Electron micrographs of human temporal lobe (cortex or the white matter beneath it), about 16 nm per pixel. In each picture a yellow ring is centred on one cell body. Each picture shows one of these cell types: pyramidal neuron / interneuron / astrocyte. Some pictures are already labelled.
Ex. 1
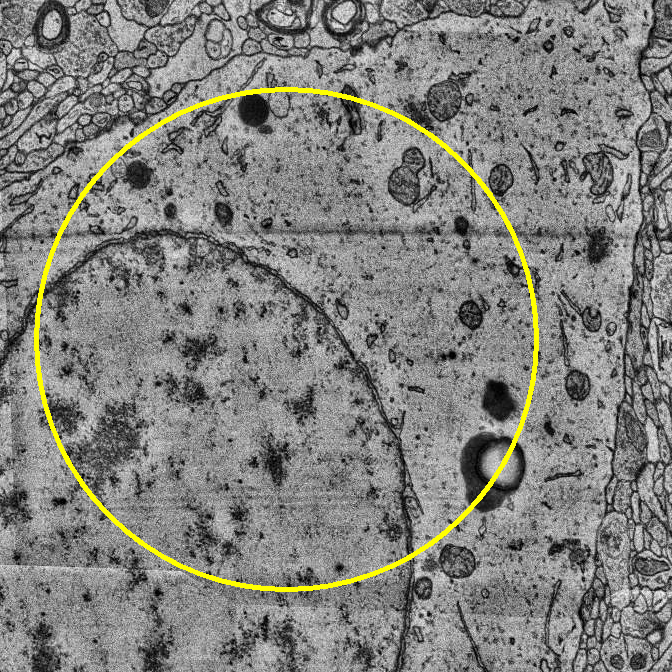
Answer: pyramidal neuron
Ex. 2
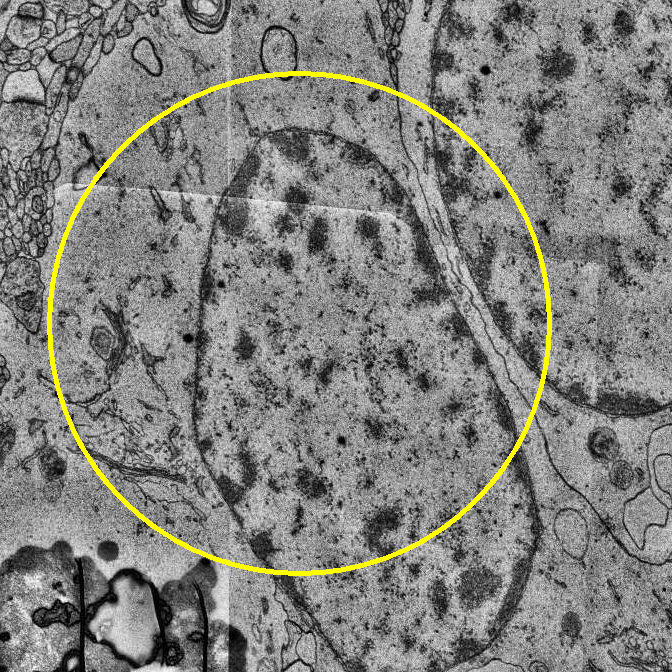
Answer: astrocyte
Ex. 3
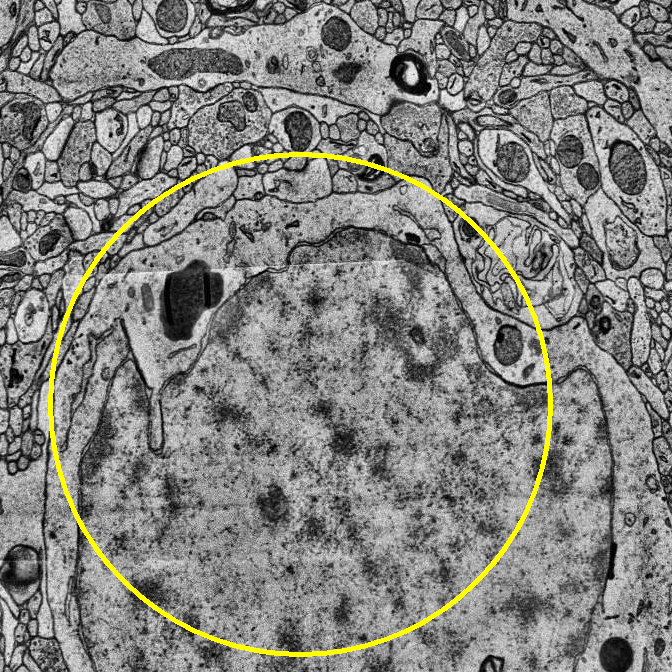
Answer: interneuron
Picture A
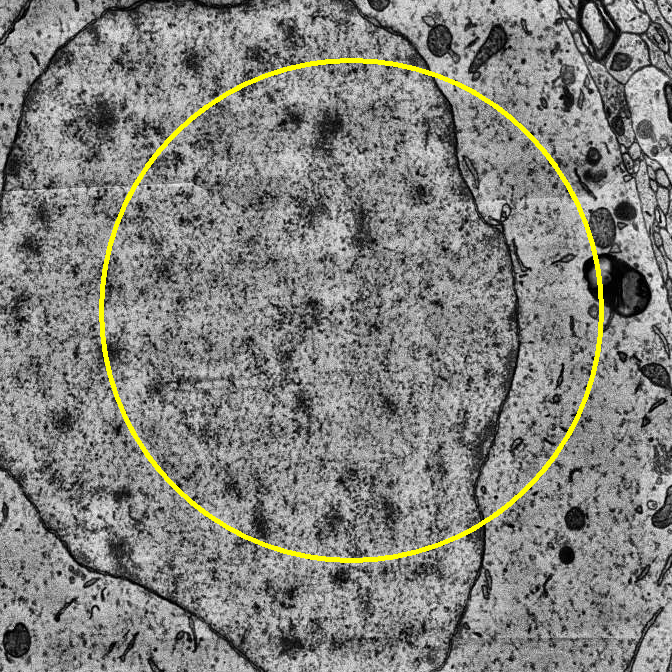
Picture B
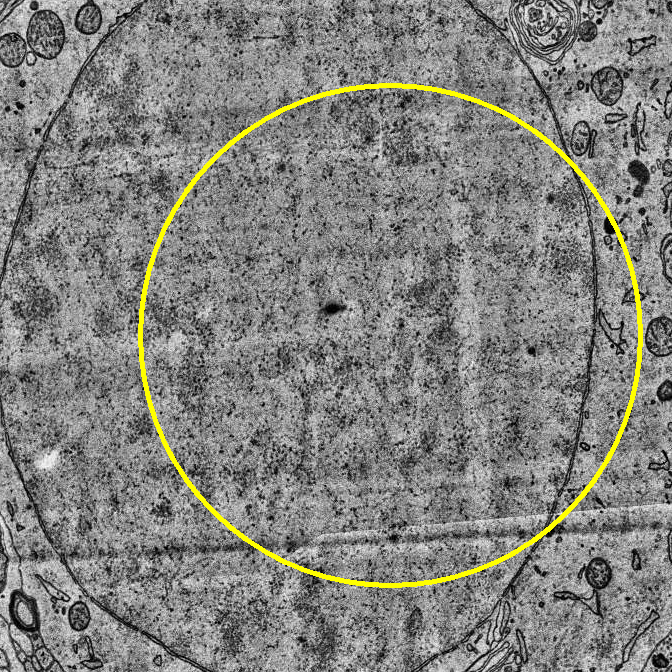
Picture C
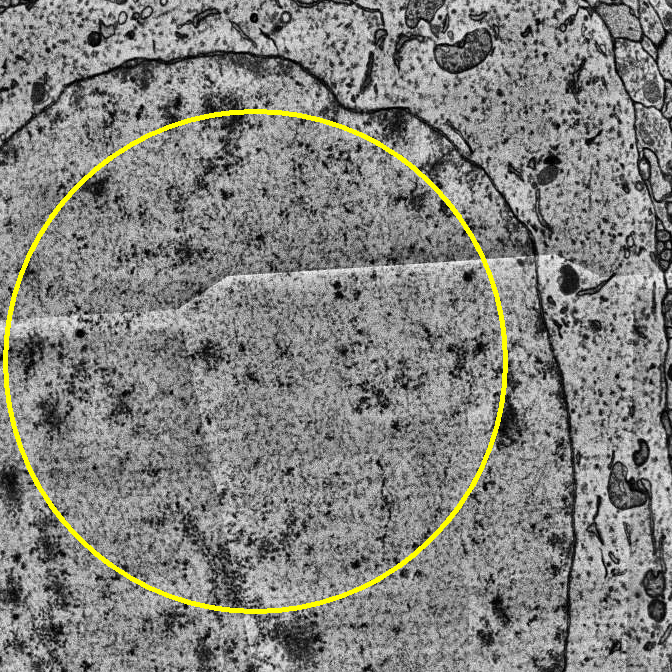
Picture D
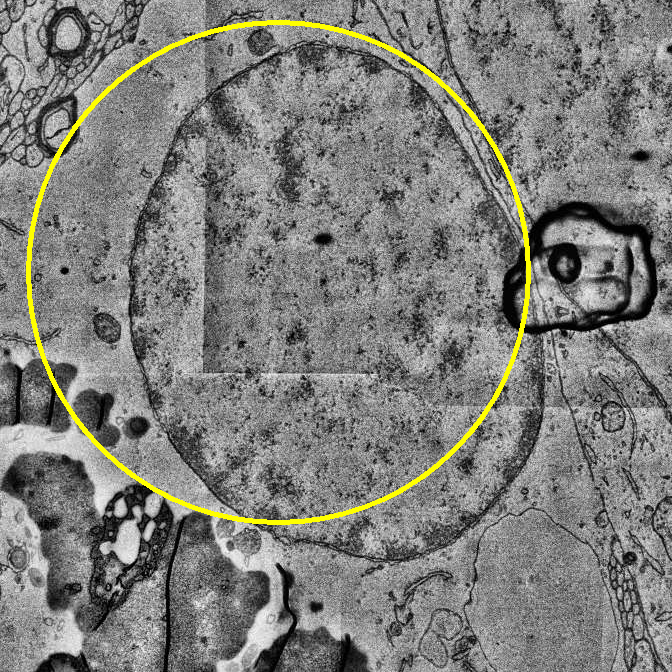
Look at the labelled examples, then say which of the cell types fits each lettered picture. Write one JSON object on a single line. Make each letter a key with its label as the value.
{"A": "pyramidal neuron", "B": "pyramidal neuron", "C": "pyramidal neuron", "D": "astrocyte"}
